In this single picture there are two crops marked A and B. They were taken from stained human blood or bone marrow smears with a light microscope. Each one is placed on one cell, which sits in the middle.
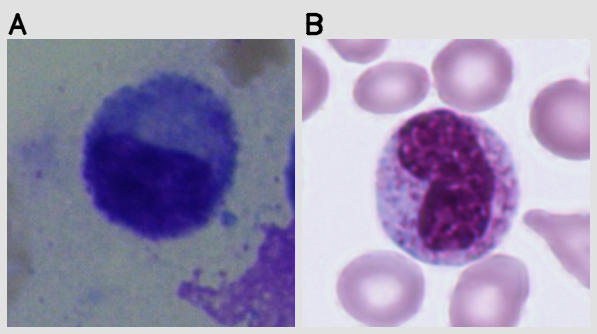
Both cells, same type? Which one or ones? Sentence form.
No, in crop A the cell is a metamyelocyte, and in crop B it is a band neutrophil.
